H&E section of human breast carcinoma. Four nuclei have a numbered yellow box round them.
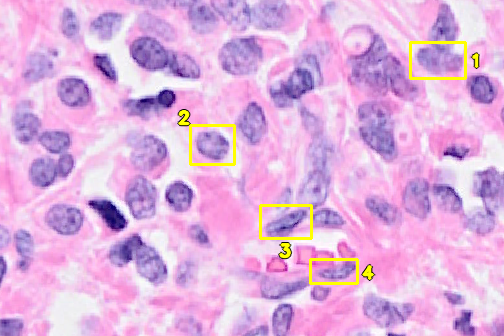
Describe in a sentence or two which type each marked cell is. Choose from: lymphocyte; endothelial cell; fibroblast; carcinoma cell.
Cell 1 is a carcinoma cell, cell 2 is a carcinoma cell, cell 3 is an endothelial cell and cell 4 is an endothelial cell.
